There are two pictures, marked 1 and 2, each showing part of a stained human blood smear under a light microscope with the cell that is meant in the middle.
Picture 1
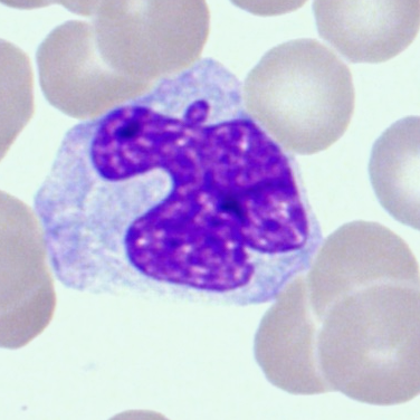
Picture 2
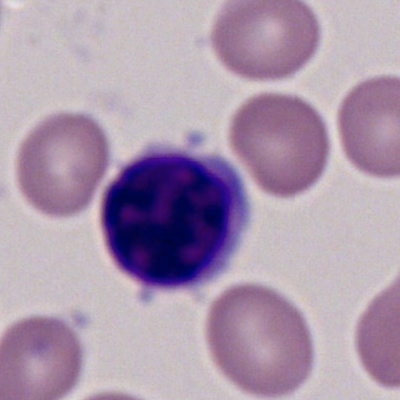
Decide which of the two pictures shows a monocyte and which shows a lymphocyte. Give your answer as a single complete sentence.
The cell in picture 1 is a monocyte, and the one in picture 2 is a lymphocyte.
